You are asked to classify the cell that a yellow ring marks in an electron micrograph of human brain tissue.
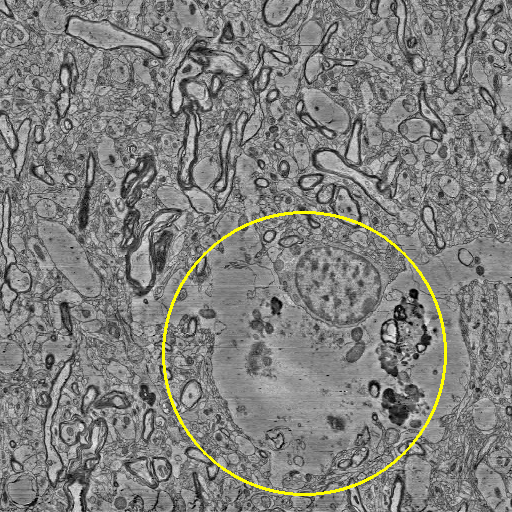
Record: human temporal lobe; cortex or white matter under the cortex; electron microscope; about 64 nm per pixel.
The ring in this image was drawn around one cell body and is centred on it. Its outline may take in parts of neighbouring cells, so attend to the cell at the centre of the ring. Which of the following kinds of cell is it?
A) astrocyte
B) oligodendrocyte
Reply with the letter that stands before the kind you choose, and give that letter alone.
A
